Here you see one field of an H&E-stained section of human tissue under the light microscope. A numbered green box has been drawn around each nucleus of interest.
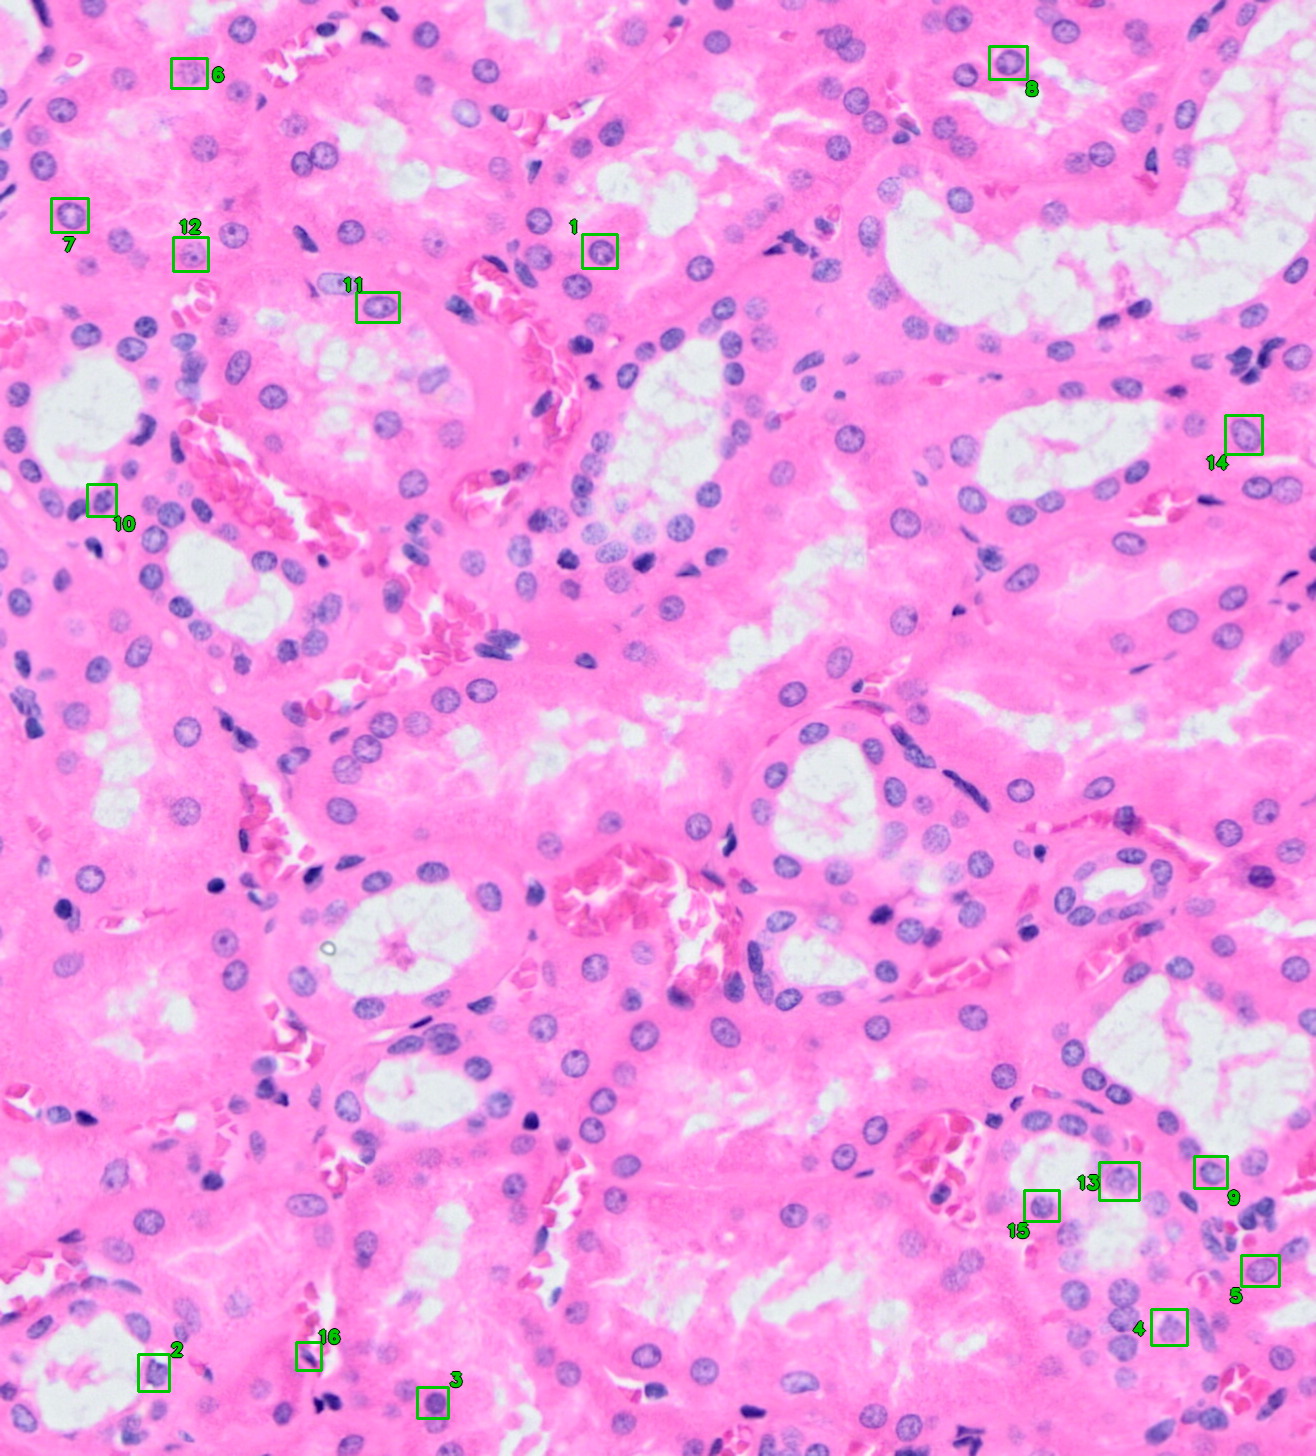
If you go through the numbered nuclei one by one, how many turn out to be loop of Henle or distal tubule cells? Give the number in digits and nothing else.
6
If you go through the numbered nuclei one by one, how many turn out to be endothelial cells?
1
